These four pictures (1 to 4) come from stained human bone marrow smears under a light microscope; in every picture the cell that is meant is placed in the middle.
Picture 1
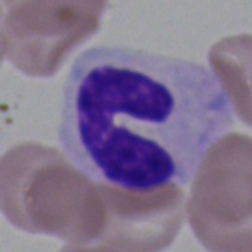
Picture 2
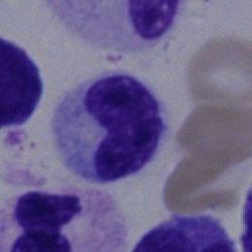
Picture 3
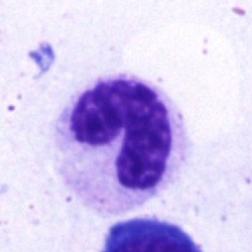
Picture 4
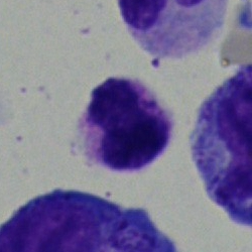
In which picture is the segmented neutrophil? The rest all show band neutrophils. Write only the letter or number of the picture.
4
